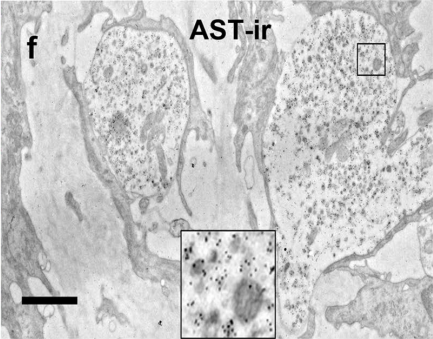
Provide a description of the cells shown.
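Electron micrograph of two large axon terminals packed with many small dark vesicles, separated by thin surrounding cell processes. The higher-magnification inset shows black gold particles lying over the vesicles.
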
